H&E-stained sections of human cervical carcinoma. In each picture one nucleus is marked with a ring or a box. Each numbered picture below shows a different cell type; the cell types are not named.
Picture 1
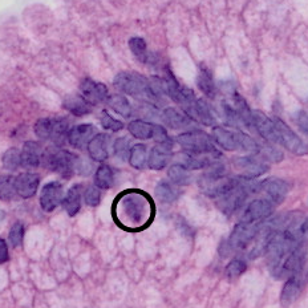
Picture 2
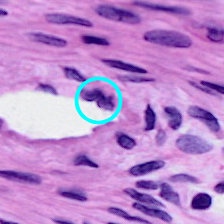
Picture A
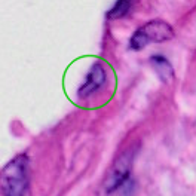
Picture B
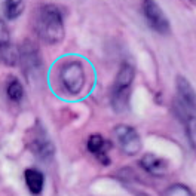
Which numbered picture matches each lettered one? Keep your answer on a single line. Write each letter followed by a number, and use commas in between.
A 2, B 2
